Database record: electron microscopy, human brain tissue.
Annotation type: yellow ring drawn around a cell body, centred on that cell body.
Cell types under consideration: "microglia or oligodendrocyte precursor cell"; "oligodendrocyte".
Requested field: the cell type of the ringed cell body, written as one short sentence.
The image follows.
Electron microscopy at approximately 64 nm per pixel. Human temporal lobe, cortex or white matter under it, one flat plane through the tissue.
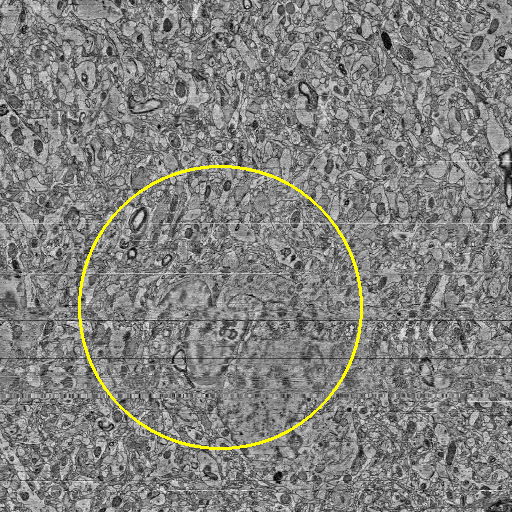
The ringed cell body represents an oligodendrocyte.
